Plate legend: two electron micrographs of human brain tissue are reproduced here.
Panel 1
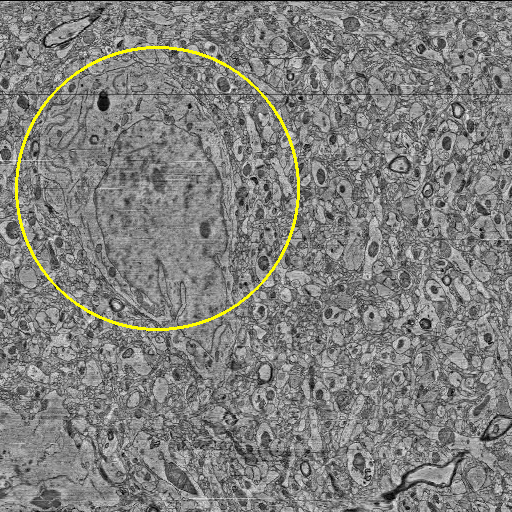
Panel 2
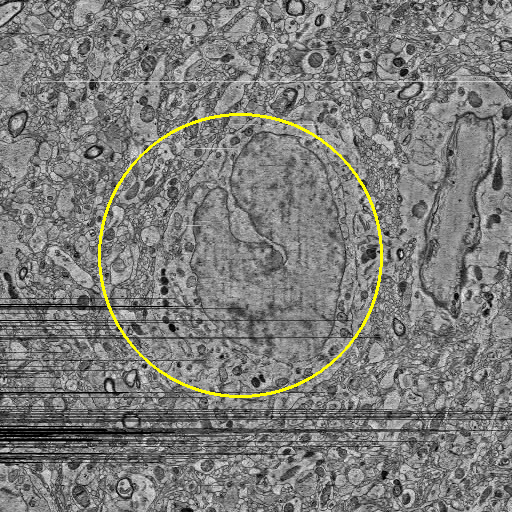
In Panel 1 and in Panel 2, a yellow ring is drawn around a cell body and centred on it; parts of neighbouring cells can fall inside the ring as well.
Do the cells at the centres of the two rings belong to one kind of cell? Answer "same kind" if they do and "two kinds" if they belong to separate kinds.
same kind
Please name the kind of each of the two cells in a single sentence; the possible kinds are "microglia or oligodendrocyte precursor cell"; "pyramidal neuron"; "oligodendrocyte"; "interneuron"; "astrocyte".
The second cell is an interneuron, just as the first is.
